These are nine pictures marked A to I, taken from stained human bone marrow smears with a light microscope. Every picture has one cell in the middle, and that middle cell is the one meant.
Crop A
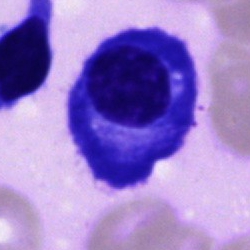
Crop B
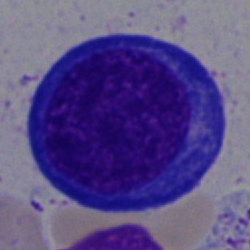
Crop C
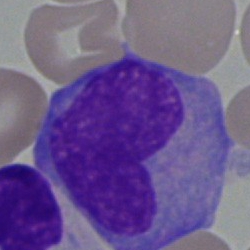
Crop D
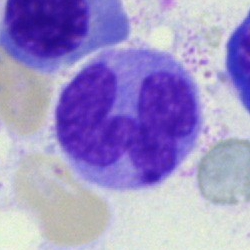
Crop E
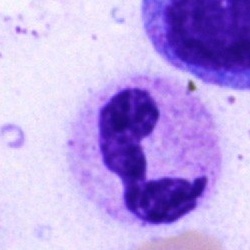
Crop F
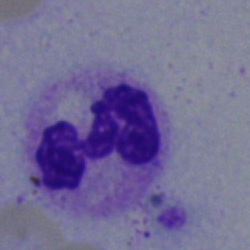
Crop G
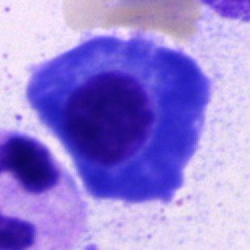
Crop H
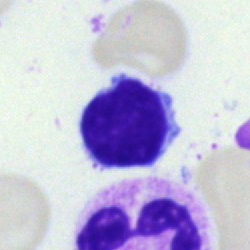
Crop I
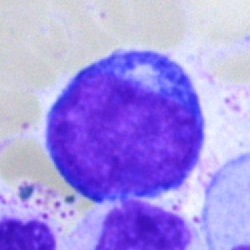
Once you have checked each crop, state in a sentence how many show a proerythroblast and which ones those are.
The two crops B and I are those that show proerythroblasts.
